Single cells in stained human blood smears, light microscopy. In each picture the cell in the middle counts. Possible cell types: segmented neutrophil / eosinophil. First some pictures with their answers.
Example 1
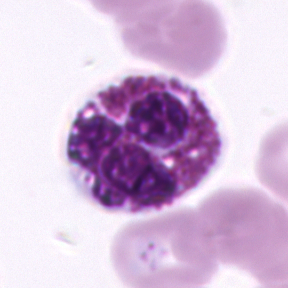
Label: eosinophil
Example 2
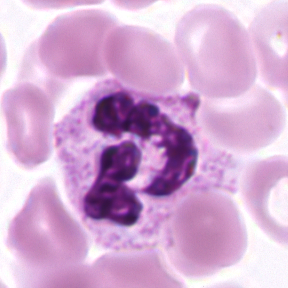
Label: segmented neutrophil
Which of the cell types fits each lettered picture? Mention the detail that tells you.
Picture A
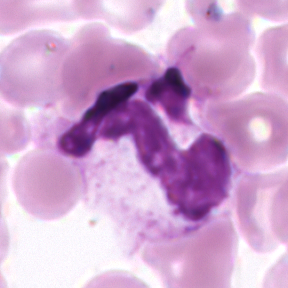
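segmented neutrophil. Fine, small pinkish-violet granules are scattered through the cytoplasm.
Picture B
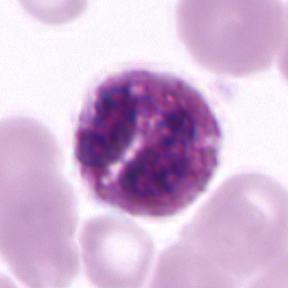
eosinophil. Coarse granules lie over the nucleus and blur its edges.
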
